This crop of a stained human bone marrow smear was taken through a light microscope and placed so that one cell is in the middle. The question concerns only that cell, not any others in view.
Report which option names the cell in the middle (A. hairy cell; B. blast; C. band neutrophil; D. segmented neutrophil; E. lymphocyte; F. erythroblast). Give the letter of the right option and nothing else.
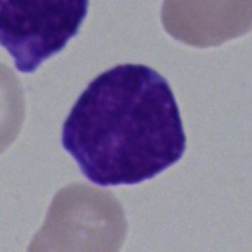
B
